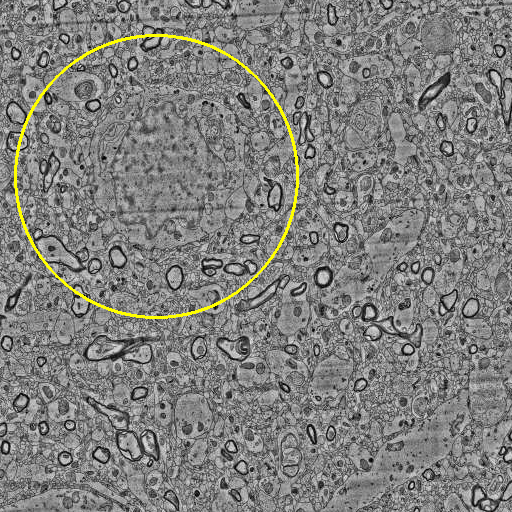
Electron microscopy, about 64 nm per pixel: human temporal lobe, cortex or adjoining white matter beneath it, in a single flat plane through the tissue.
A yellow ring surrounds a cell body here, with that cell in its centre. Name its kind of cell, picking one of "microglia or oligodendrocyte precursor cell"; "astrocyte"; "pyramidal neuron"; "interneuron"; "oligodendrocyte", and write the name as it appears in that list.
interneuron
